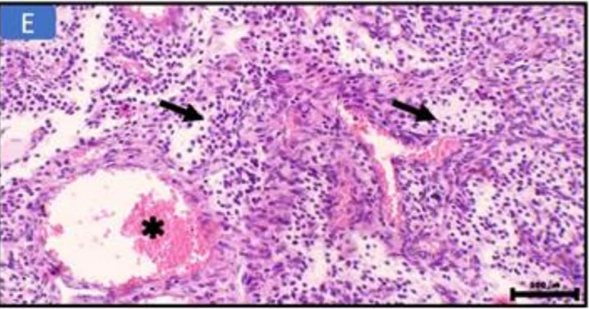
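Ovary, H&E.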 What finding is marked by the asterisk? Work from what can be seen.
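The asterisk lies in a dilated vessel lumen containing a mass of red blood cells. The answer: congestion.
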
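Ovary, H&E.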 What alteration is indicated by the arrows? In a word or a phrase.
inflammatory cellular infiltrate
